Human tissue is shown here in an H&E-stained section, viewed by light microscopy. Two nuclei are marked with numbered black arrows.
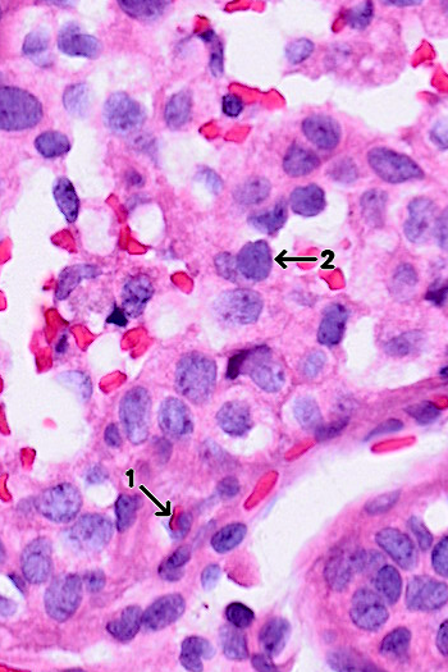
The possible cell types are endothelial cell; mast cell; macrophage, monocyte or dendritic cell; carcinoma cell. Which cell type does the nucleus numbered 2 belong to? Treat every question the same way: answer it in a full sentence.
Corresponding to a carcinoma cell is the cell labelled 2.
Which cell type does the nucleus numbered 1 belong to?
The nucleus marked 1 is the nucleus of an endothelial cell.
